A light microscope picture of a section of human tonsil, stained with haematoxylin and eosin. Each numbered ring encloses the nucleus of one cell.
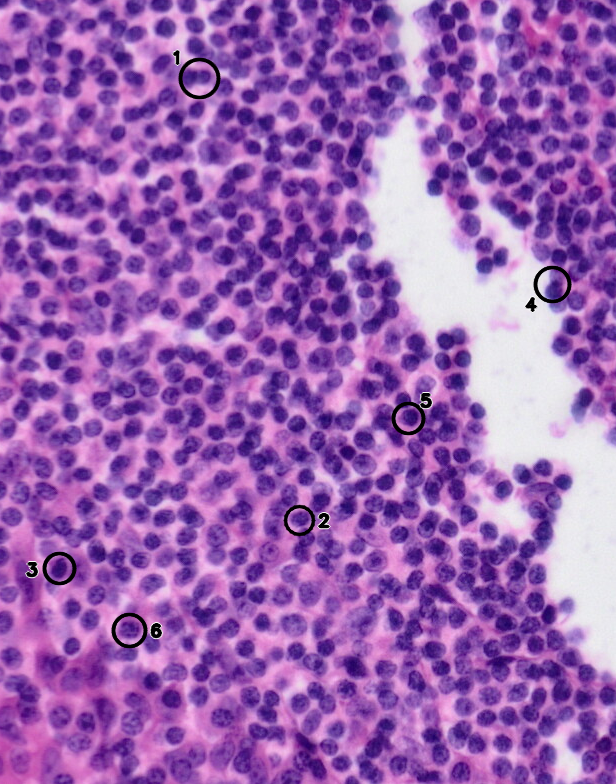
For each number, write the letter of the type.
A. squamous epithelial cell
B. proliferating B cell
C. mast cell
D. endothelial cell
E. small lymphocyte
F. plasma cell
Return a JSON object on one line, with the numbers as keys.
{"1": "E", "2": "E", "3": "F", "4": "E", "5": "E", "6": "F"}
